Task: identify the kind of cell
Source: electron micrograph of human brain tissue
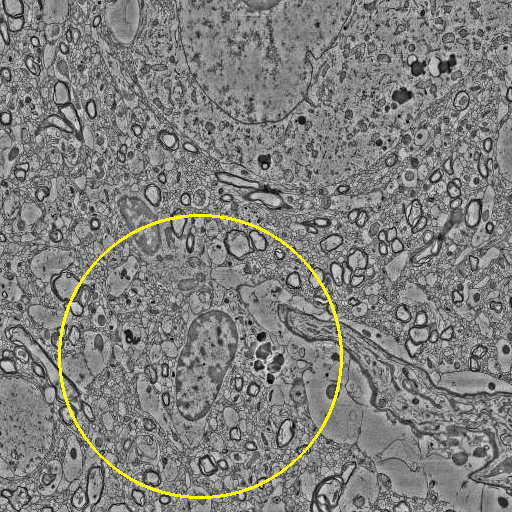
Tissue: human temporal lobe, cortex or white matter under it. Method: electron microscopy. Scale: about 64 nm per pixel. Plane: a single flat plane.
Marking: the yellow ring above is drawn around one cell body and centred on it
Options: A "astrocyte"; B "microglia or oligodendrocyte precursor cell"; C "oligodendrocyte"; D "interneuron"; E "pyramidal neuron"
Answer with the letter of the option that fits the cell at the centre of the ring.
B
